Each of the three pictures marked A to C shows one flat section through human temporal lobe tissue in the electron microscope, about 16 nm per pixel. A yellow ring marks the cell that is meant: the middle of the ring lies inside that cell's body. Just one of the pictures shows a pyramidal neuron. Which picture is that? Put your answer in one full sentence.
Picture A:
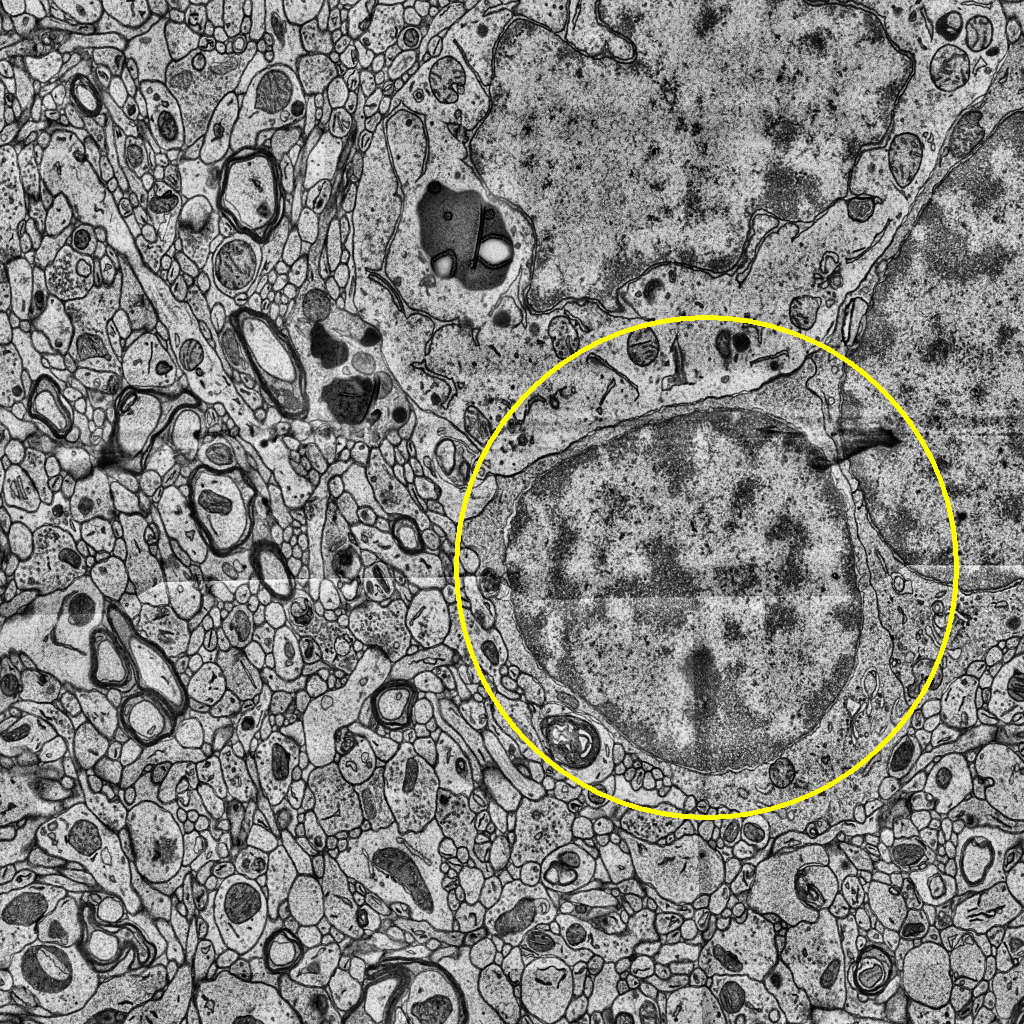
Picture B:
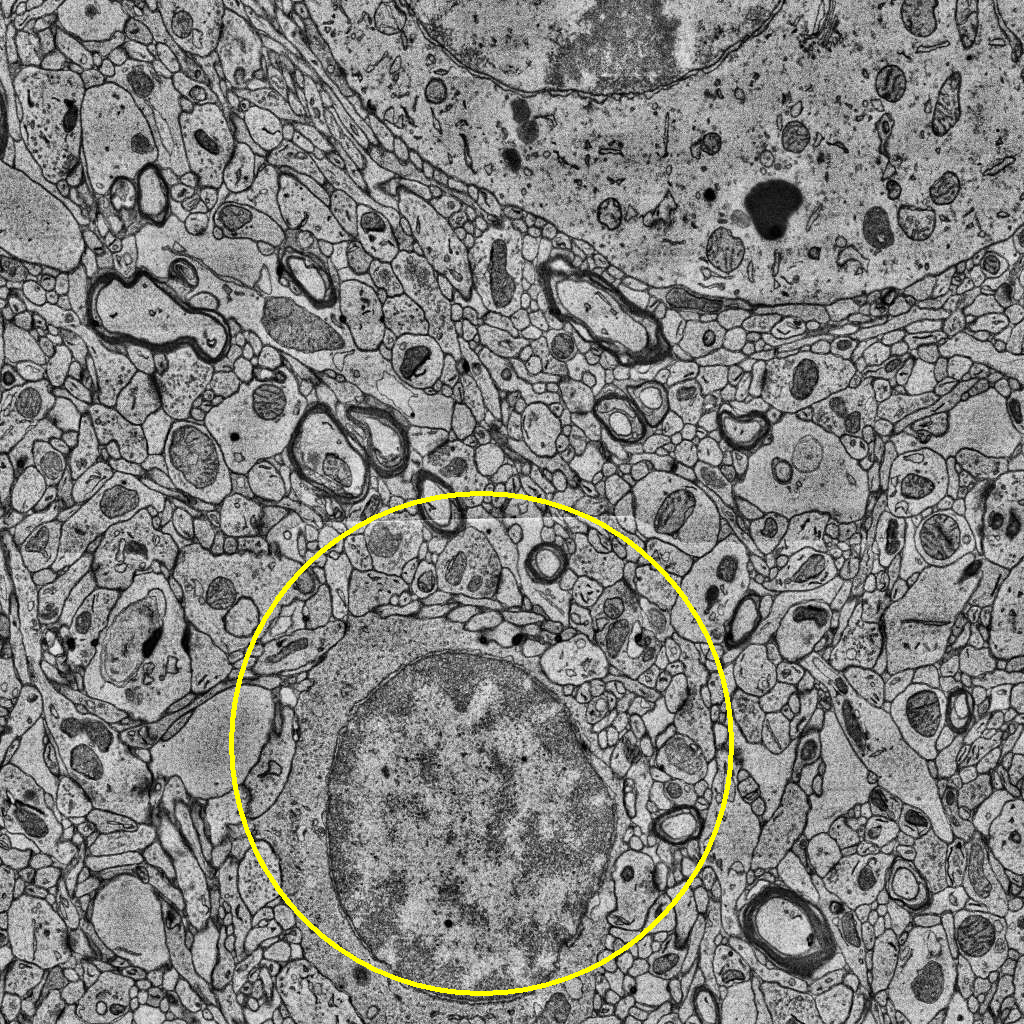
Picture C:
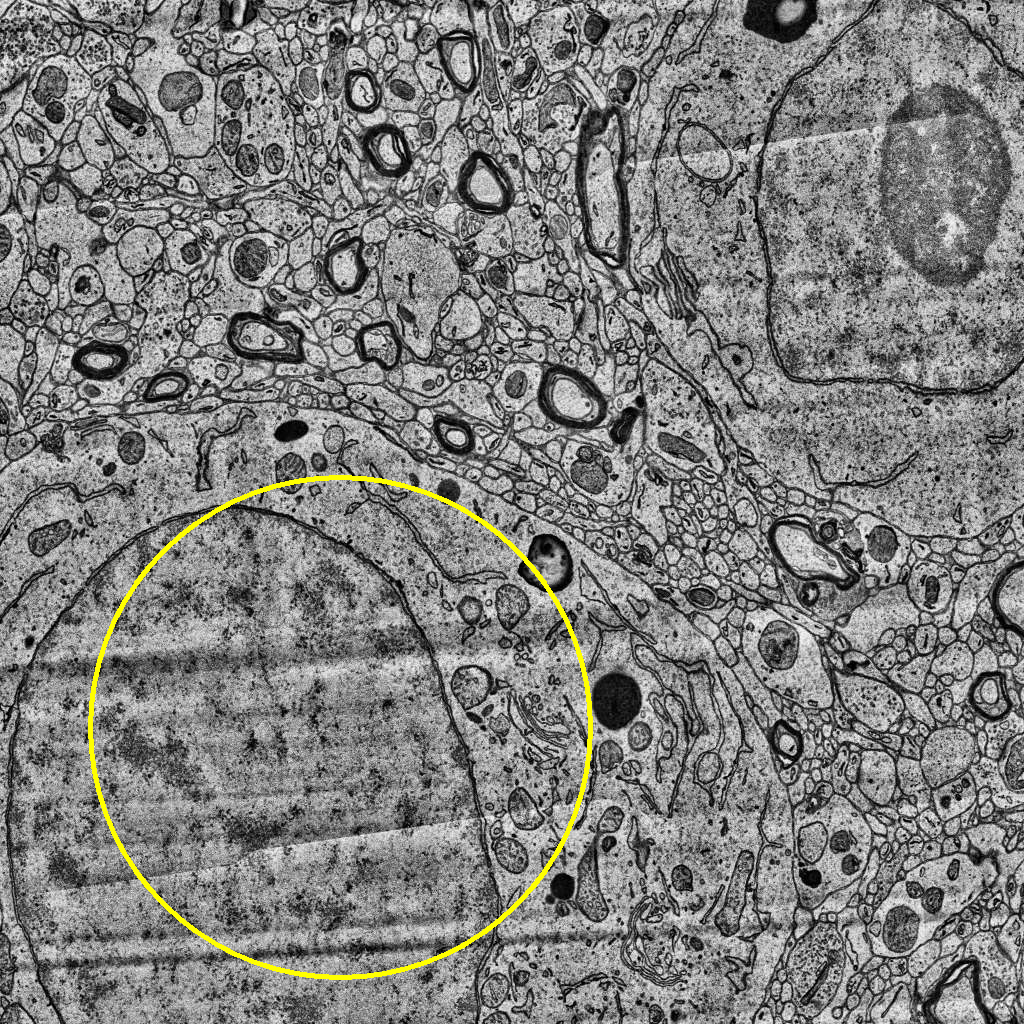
The cell in picture C is the pyramidal neuron.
